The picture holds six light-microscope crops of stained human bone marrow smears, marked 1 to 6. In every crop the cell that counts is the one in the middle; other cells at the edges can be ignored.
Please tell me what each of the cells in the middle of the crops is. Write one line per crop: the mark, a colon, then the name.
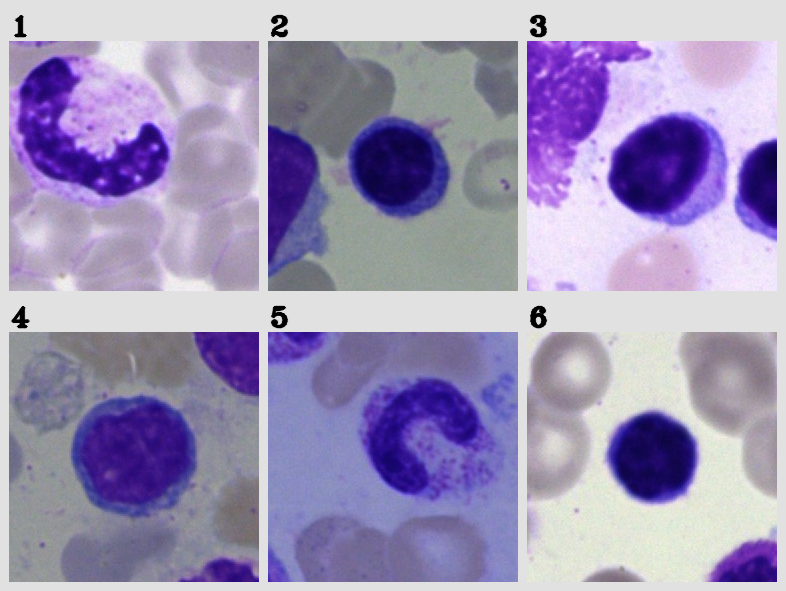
1: band neutrophil
2: lymphocyte
3: lymphocyte
4: lymphocyte
5: band neutrophil
6: lymphocyte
